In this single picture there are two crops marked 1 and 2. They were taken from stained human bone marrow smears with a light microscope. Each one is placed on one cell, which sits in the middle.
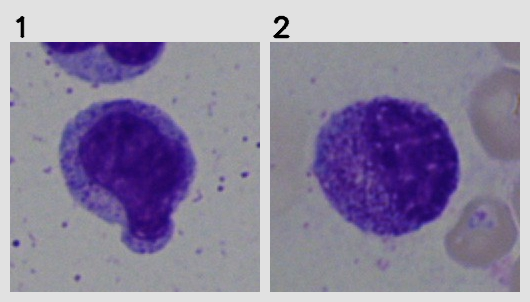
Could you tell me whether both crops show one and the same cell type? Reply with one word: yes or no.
yes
